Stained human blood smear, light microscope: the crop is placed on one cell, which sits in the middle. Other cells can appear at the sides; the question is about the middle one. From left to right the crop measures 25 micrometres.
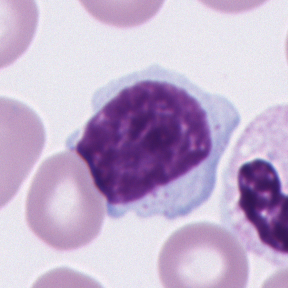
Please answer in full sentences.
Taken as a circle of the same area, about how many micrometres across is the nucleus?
About 10 micrometres: that is the diameter of the nucleus.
